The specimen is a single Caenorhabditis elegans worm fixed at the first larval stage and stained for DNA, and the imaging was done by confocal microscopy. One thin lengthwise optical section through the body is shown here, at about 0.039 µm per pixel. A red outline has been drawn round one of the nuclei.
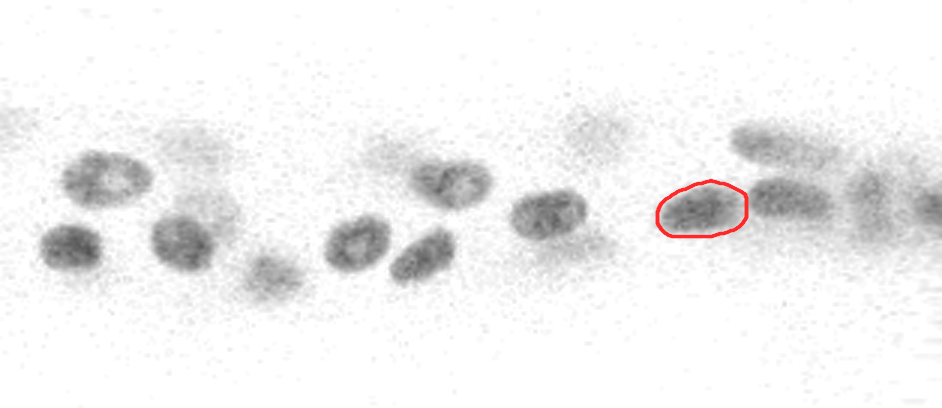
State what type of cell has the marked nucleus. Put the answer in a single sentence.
The nucleus comes from an enteric muscle cell.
